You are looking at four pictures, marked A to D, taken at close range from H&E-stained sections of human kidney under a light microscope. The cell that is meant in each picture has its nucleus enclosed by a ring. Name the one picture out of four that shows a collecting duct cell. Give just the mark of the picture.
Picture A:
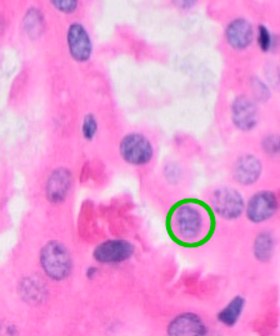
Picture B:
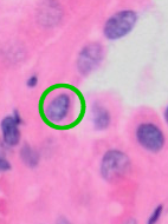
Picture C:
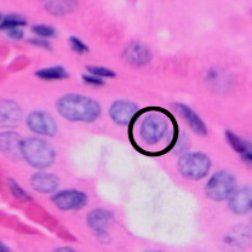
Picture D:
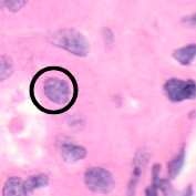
C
